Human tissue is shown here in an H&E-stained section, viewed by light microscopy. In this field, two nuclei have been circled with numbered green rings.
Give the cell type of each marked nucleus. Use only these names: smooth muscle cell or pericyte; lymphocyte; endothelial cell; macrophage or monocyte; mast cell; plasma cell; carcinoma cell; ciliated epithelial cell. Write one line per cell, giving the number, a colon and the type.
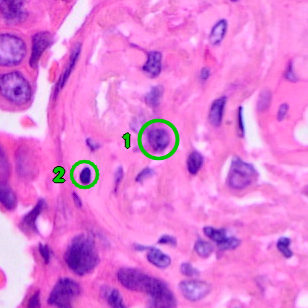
1: plasma cell
2: lymphocyte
